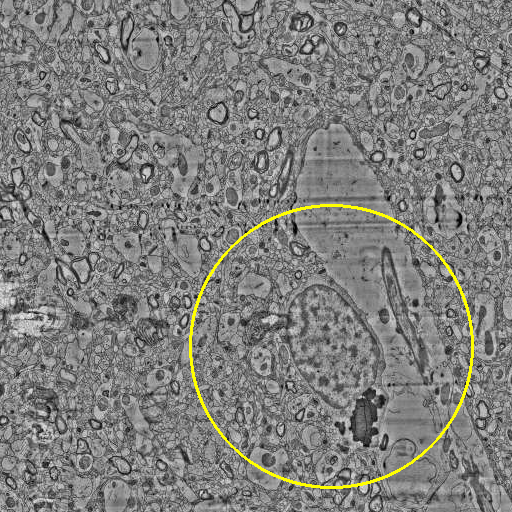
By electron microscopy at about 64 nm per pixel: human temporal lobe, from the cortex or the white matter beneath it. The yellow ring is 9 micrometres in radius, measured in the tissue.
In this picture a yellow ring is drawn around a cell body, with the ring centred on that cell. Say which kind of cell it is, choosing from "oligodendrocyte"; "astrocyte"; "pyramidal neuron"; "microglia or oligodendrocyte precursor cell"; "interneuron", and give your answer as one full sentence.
Here it is an oligodendrocyte that sits at the centre of the drawn yellow ring.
